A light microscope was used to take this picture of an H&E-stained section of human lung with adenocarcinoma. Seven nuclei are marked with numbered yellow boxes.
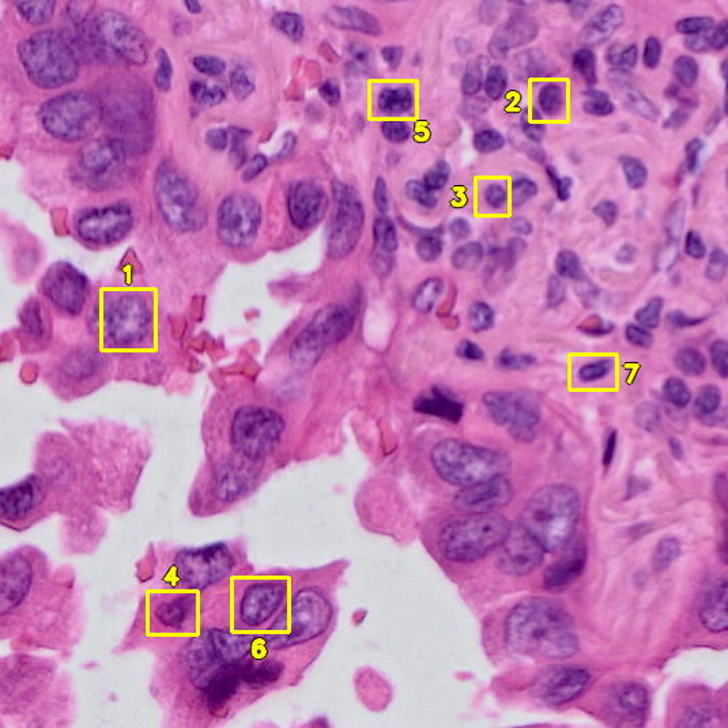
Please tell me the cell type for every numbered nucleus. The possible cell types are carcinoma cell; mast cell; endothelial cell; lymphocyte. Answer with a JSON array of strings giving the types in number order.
["carcinoma cell", "lymphocyte", "lymphocyte", "carcinoma cell", "lymphocyte", "carcinoma cell", "lymphocyte"]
